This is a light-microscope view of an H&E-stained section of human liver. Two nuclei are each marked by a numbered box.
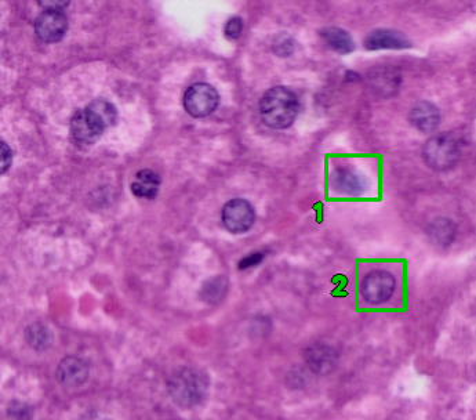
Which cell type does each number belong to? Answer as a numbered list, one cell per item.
1. endothelial cell
2. hepatocyte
